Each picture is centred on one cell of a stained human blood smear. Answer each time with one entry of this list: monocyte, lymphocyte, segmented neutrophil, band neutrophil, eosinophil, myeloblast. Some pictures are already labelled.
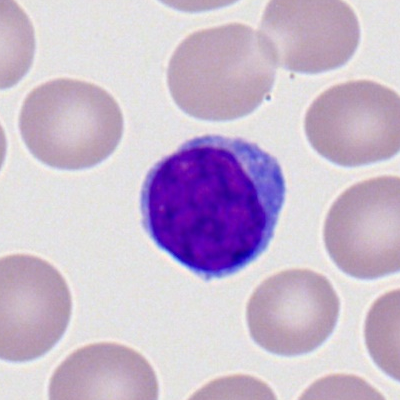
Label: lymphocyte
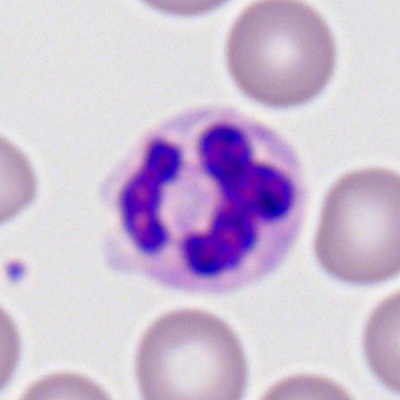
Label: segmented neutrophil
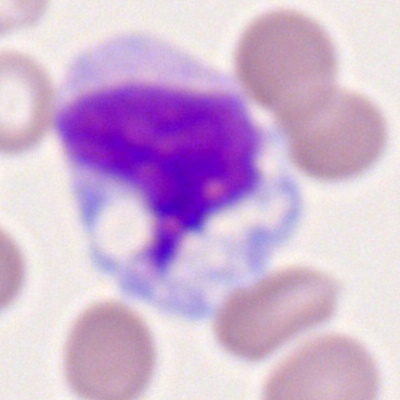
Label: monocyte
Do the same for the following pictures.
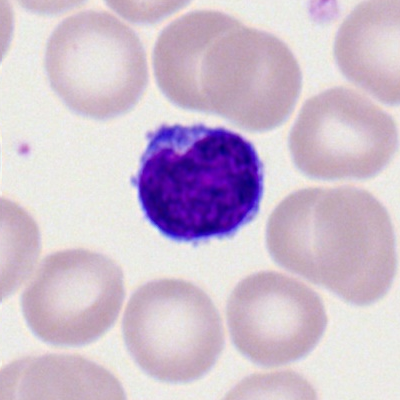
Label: lymphocyte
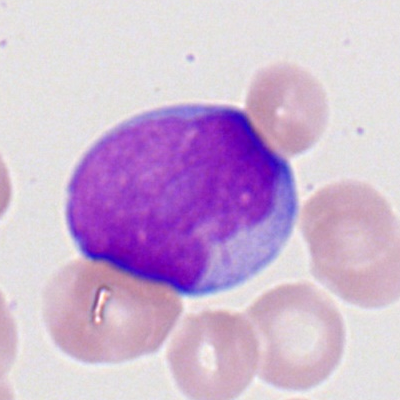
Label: myeloblast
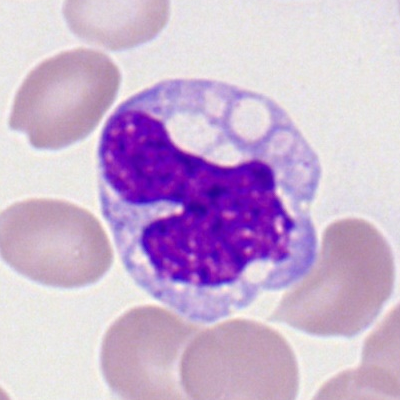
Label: monocyte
